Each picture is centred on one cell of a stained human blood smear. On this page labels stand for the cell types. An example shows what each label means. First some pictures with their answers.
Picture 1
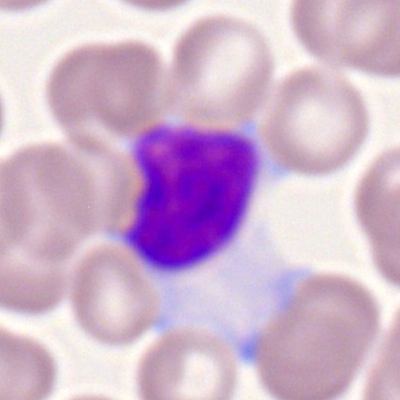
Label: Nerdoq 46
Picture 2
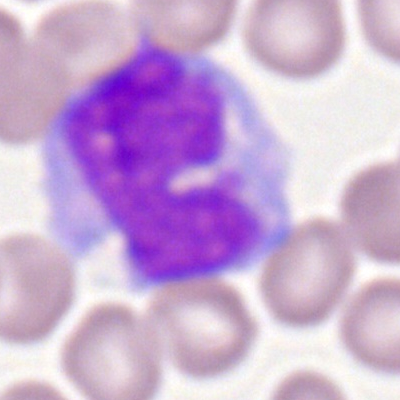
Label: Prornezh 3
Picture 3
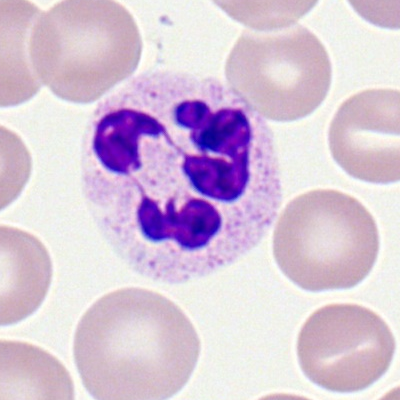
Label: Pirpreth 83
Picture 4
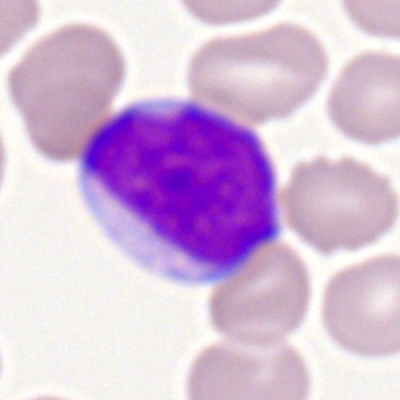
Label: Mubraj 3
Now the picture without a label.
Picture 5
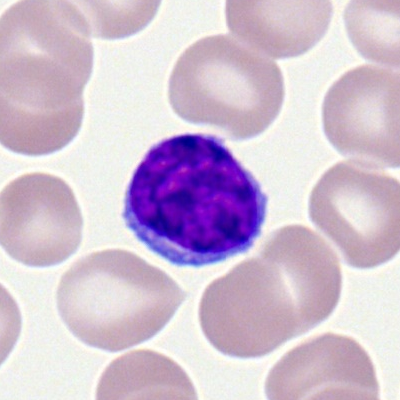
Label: Nerdoq 46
